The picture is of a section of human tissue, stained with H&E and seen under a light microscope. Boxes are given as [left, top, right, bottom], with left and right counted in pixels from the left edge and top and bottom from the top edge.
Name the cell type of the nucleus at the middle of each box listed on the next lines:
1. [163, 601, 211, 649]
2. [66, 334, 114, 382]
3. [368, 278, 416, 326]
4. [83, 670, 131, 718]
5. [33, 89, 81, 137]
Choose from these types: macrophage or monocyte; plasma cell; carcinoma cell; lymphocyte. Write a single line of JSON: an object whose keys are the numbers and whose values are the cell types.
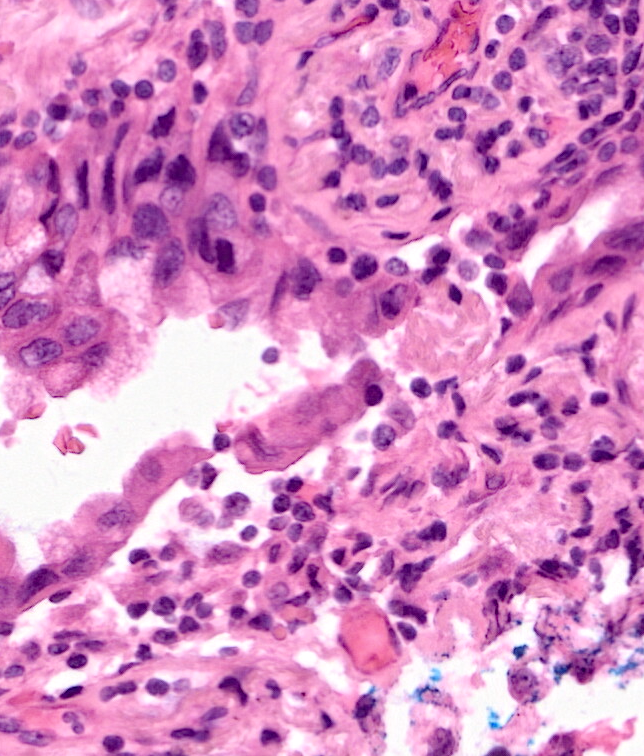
{"1": "lymphocyte", "2": "carcinoma cell", "3": "carcinoma cell", "4": "lymphocyte", "5": "plasma cell"}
